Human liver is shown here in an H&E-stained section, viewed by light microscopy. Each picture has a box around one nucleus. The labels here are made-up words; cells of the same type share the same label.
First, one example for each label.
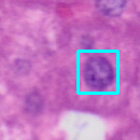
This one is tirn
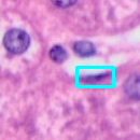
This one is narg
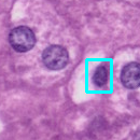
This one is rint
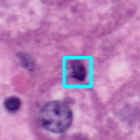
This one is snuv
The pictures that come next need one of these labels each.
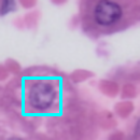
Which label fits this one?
tirn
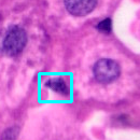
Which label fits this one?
narg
